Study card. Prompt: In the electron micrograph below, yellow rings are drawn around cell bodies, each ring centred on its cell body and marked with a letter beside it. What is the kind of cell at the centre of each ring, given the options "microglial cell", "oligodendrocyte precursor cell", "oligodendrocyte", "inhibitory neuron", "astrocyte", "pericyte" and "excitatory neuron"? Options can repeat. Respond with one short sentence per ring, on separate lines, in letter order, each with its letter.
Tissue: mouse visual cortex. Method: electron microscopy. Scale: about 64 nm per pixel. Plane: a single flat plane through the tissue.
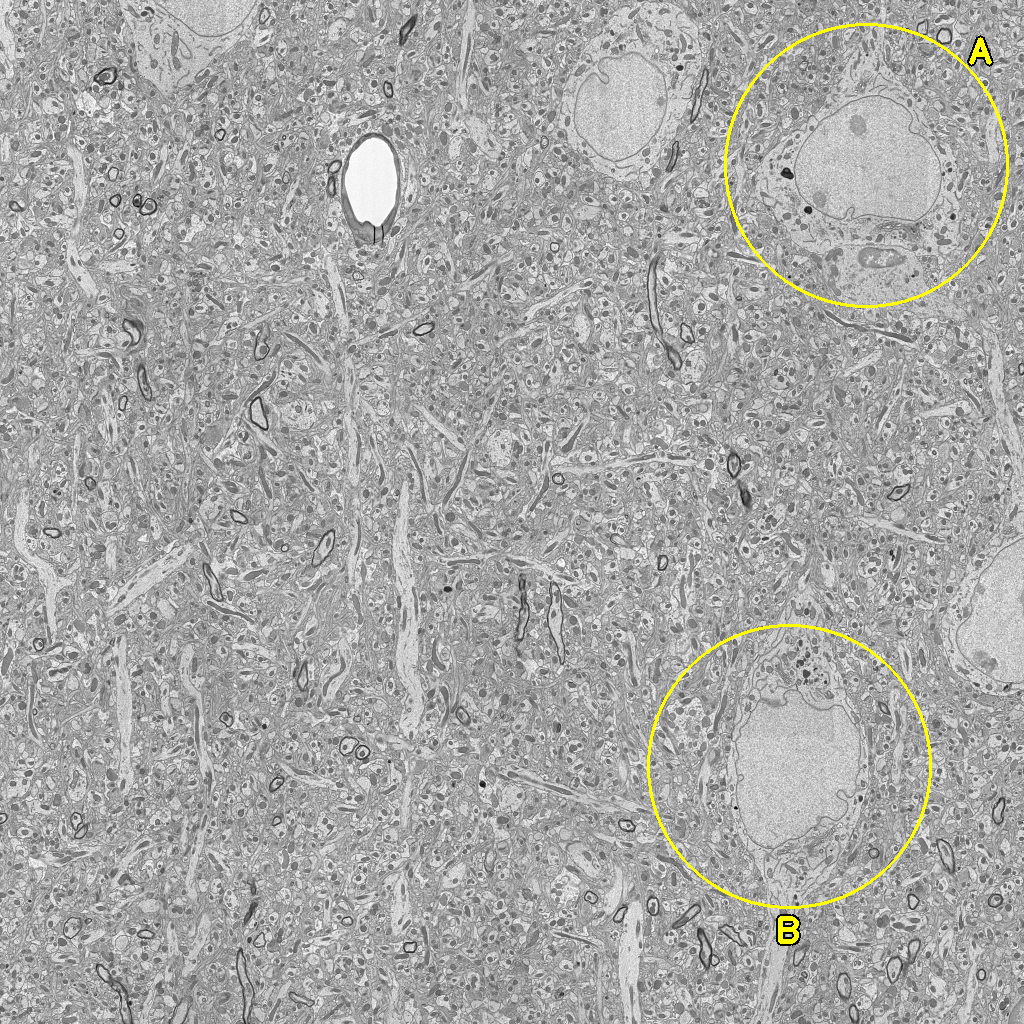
Ring A outlines an excitatory neuron.
Ring B outlines an inhibitory neuron.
